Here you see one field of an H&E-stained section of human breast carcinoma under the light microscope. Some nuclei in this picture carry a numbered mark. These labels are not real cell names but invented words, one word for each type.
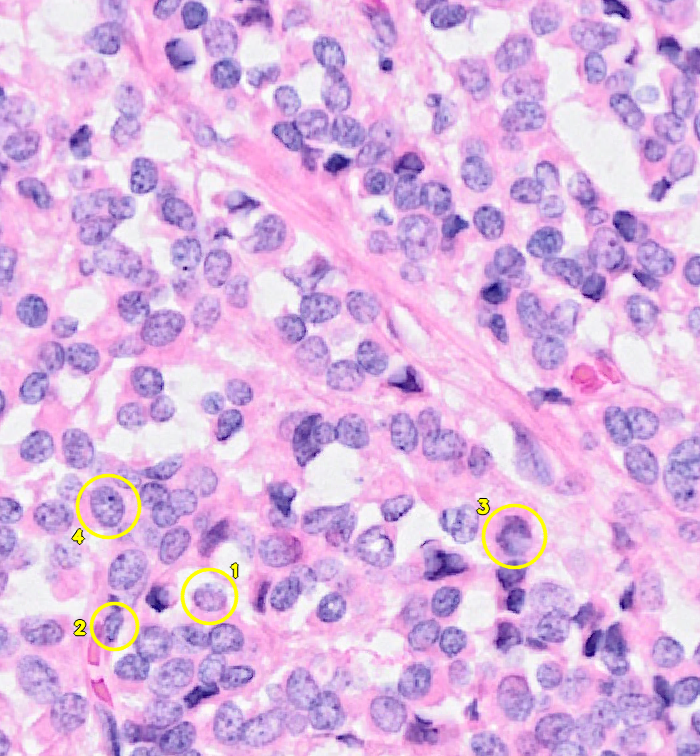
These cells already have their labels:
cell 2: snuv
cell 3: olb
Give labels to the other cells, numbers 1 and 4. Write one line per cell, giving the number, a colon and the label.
1: olb
4: olb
